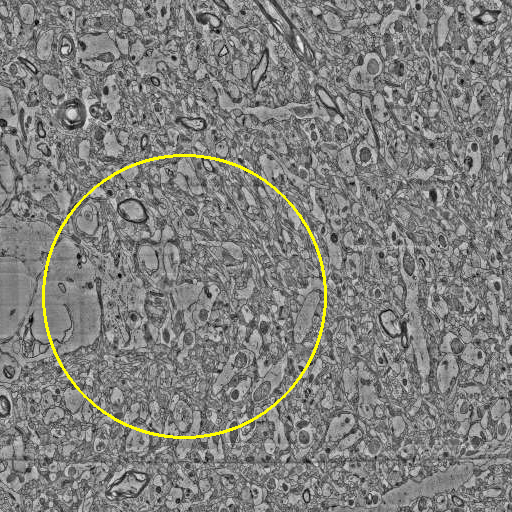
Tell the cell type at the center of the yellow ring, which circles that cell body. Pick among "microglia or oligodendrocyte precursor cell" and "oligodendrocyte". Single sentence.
The ring is centered on the body of a microglial cell or oligodendrocyte precursor cell.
